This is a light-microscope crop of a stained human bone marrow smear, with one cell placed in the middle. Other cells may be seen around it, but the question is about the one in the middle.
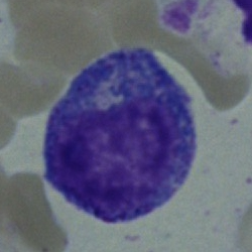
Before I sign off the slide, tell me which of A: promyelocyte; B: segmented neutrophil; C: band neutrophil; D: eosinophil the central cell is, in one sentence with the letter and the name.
The correct option here is A; the middle cell is a promyelocyte.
